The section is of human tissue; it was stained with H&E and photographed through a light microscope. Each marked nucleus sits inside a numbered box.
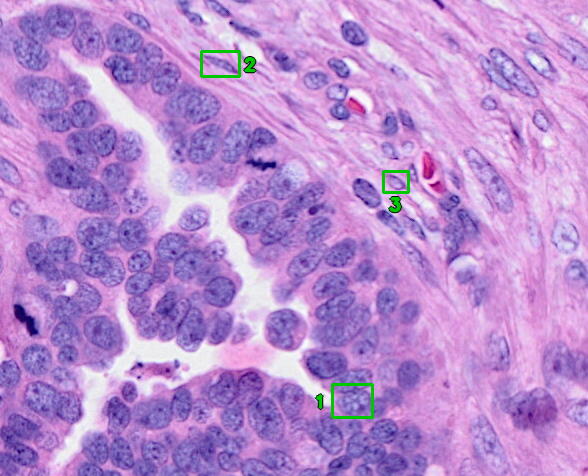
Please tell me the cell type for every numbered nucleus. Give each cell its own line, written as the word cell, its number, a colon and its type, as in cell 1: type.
cell 1: carcinoma cell
cell 2: fibroblast
cell 3: fibroblast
